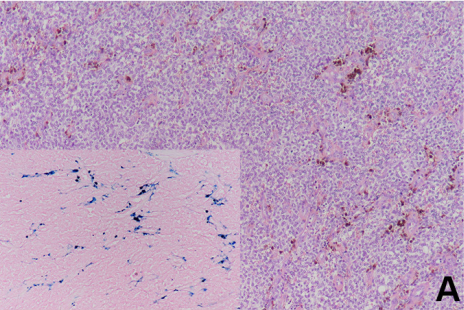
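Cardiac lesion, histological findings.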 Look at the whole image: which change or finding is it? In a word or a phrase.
Scattered deposition of pigment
